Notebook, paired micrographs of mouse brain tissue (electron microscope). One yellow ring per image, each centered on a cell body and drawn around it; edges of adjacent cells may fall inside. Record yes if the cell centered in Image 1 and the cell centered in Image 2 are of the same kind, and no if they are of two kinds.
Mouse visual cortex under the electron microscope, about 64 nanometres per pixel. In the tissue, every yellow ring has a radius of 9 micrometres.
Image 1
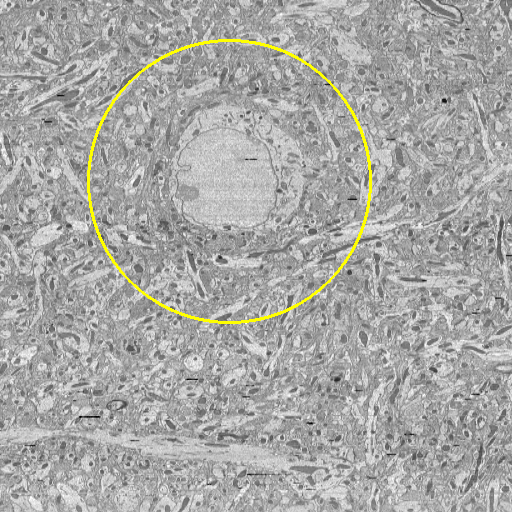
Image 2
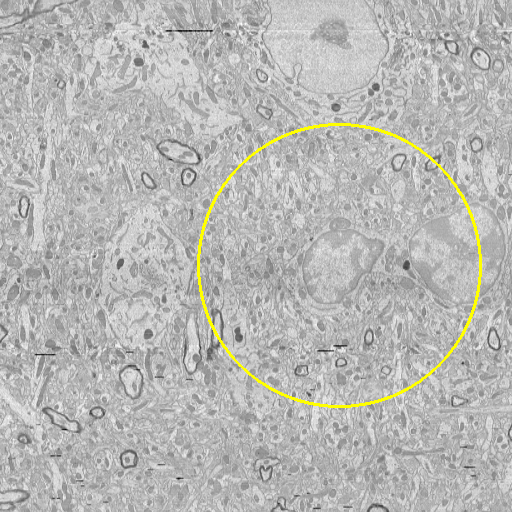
no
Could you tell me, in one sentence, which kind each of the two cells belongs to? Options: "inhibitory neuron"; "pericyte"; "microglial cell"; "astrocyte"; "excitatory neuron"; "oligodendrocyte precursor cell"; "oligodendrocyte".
At the centre of the first ring sits an excitatory neuron, and at the centre of the second sits an oligodendrocyte.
